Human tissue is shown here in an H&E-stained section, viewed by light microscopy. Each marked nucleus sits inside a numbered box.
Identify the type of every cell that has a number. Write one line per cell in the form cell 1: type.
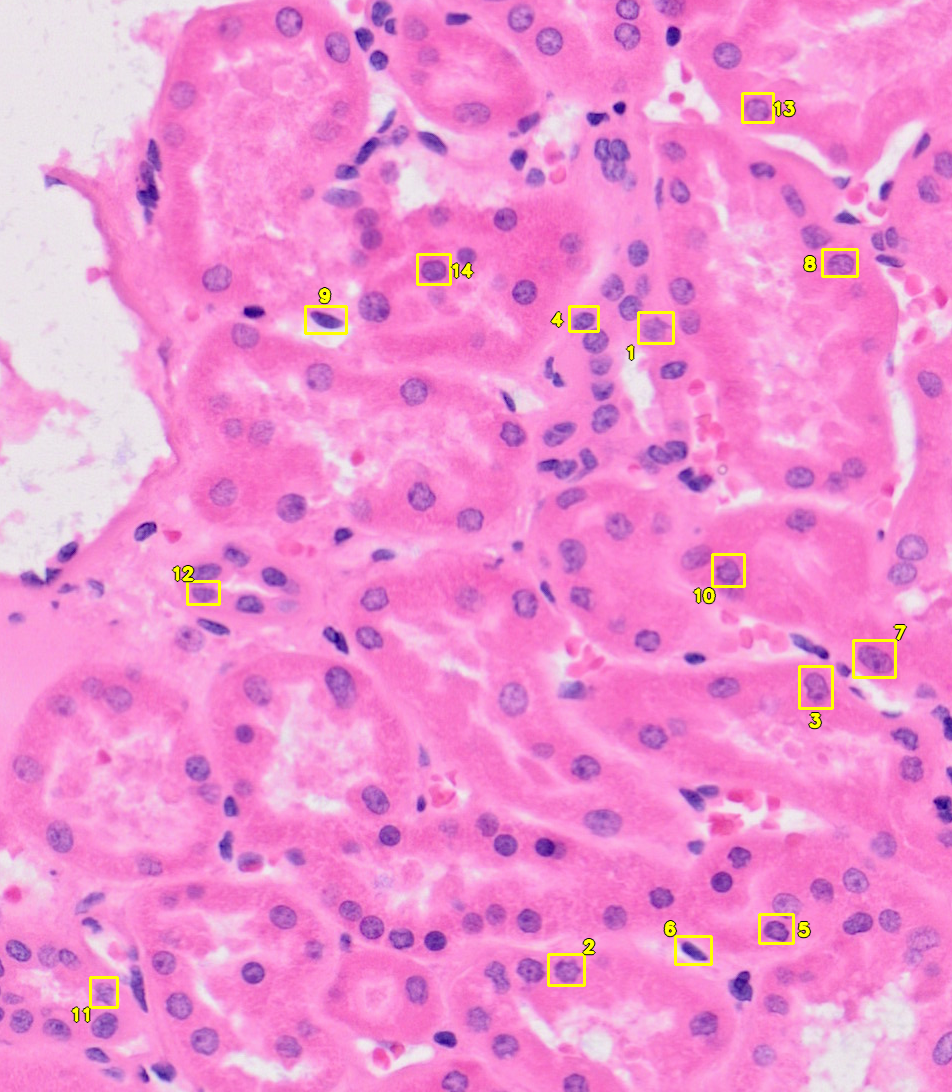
cell 1: collecting duct cell
cell 2: proximal tubule cell
cell 3: proximal tubule cell
cell 4: collecting duct cell
cell 5: proximal tubule cell
cell 6: endothelial cell
cell 7: proximal tubule cell
cell 8: proximal tubule cell
cell 9: endothelial cell
cell 10: proximal tubule cell
cell 11: collecting duct cell
cell 12: collecting duct cell
cell 13: proximal tubule cell
cell 14: proximal tubule cell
